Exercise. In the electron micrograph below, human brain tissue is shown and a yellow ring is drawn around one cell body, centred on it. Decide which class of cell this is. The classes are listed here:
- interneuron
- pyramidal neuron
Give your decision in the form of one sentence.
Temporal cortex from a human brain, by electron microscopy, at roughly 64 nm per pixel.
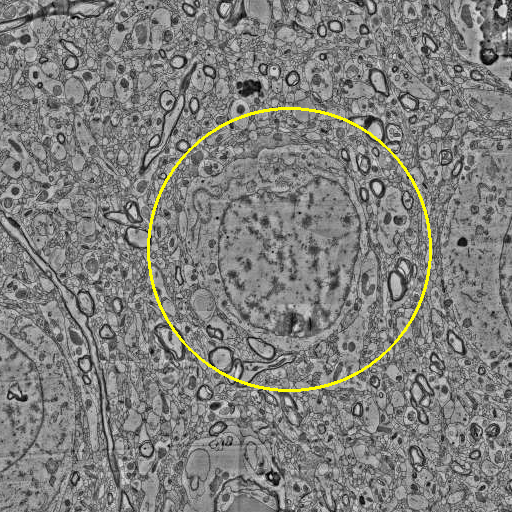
The cell body marked by the ring belongs to an interneuron.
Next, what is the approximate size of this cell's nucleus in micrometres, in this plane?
The nucleus of the ringed cell is approximately 11 by 9 micrometres in this plane.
